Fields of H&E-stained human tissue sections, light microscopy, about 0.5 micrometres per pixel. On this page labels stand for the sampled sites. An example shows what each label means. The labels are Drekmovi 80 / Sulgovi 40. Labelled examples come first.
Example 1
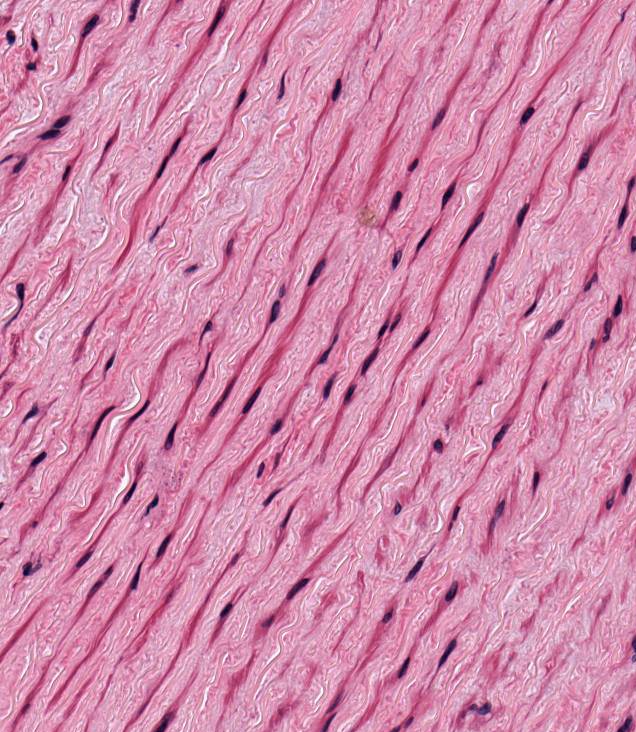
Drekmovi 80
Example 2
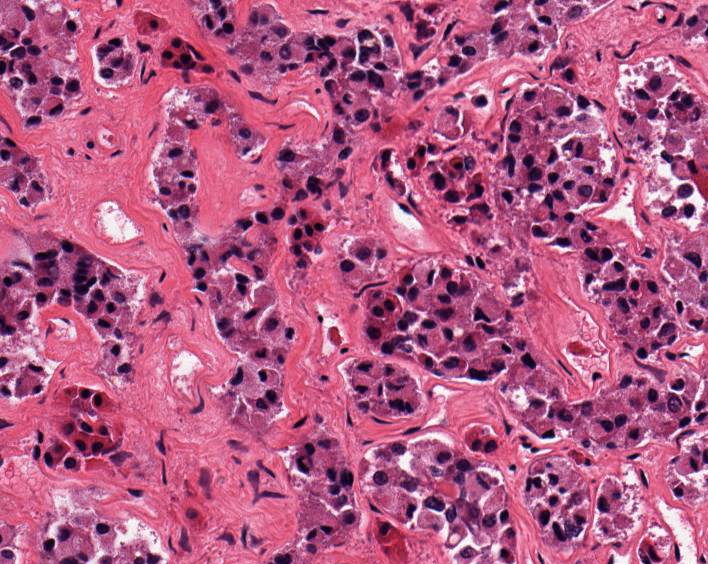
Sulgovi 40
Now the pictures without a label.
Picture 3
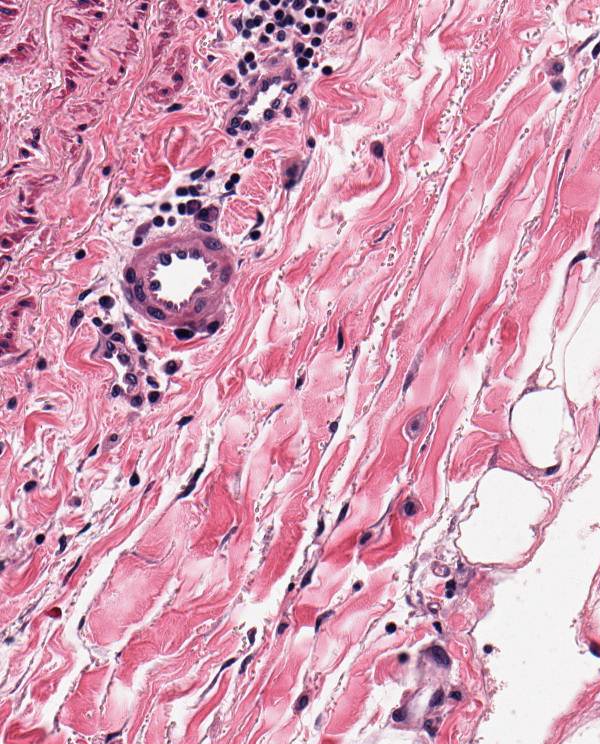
Drekmovi 80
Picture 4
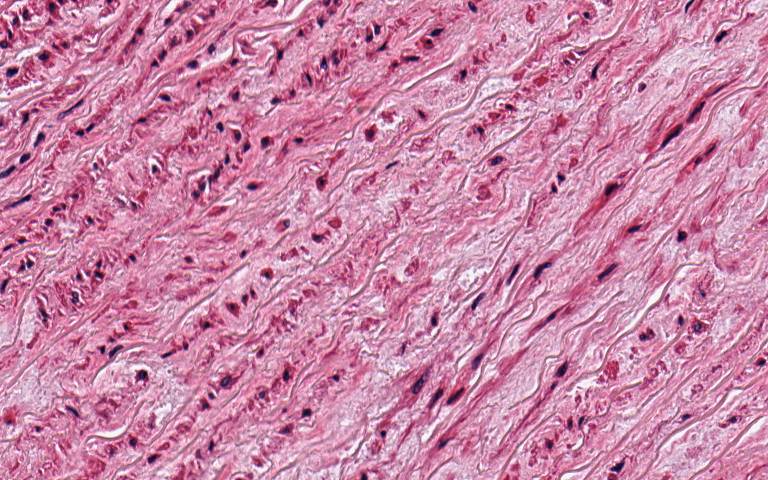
Drekmovi 80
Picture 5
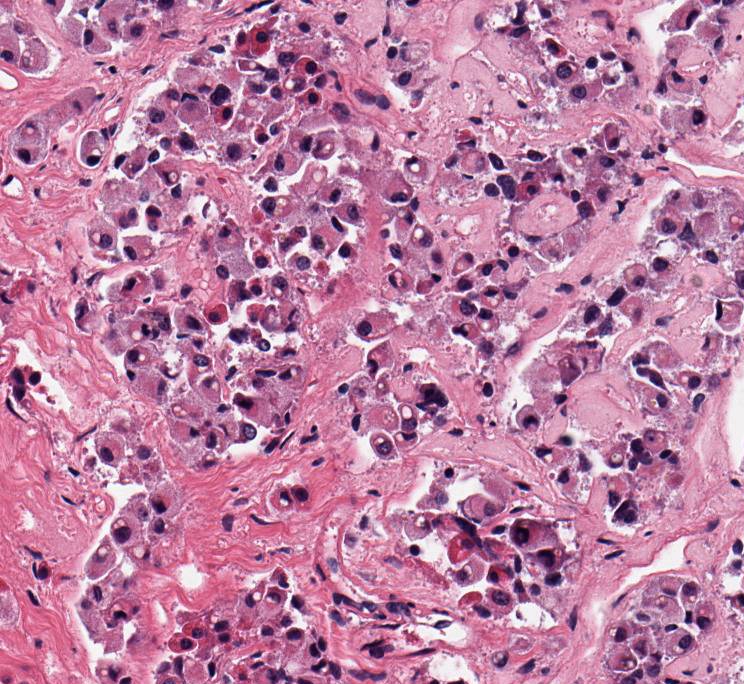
Sulgovi 40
